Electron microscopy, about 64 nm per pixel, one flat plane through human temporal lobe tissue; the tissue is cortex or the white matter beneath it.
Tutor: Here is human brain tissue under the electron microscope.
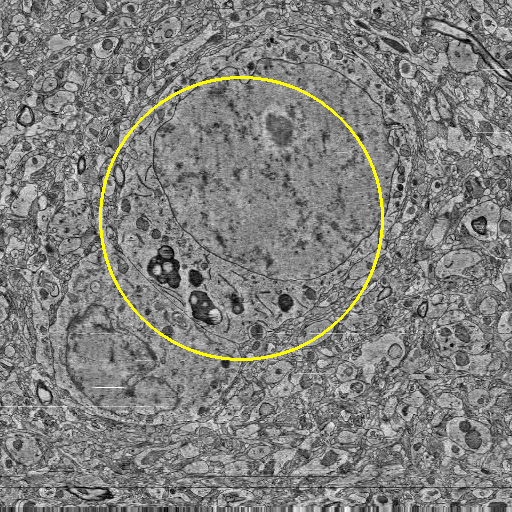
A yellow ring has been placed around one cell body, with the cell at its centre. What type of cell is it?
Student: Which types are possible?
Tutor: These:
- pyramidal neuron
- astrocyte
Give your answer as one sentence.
What the ring picks out here is a pyramidal neuron.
